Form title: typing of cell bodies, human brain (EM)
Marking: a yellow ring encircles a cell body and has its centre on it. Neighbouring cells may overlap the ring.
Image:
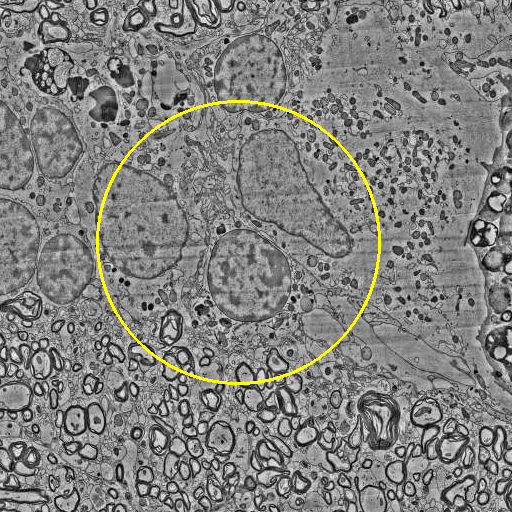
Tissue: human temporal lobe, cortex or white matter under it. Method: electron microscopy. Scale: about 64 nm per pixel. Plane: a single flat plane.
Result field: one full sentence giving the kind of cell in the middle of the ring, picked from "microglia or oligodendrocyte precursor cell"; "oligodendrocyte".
In the picture, the ring is centred on a microglial cell or oligodendrocyte precursor cell, whose cell body it encircles.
